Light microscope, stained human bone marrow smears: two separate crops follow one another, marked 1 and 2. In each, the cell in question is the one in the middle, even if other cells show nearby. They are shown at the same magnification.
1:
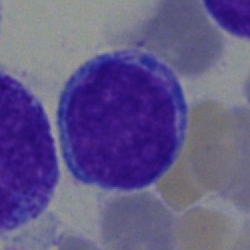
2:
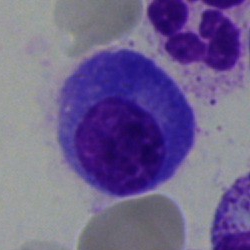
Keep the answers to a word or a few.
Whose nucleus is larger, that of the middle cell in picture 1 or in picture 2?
1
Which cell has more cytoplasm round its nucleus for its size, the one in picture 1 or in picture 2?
2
